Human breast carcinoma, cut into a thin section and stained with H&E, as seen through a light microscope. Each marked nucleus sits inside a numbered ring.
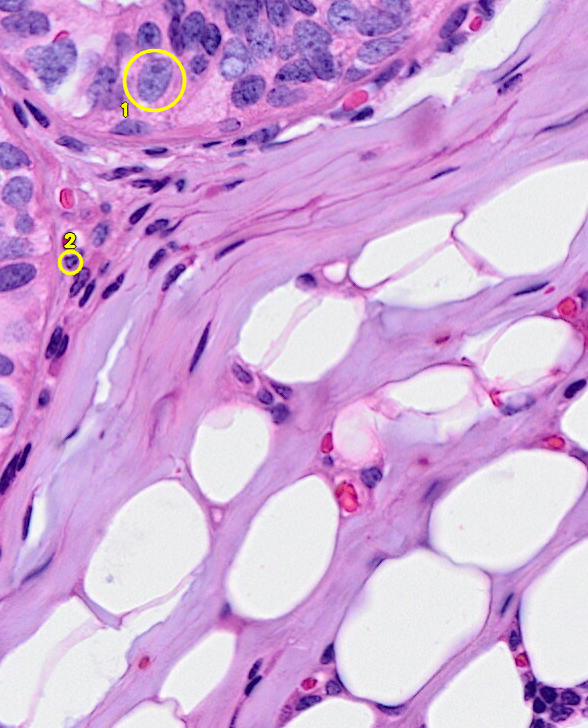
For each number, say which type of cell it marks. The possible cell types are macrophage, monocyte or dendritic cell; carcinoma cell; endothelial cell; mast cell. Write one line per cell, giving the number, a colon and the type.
1: carcinoma cell
2: endothelial cell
